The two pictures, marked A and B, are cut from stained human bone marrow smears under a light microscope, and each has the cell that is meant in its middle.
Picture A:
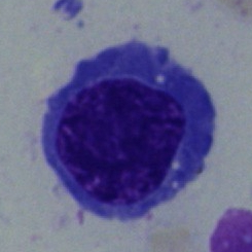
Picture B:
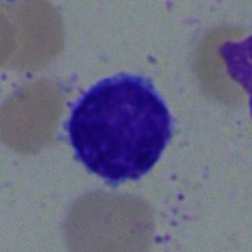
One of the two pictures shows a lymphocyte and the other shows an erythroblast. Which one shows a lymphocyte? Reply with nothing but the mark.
B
